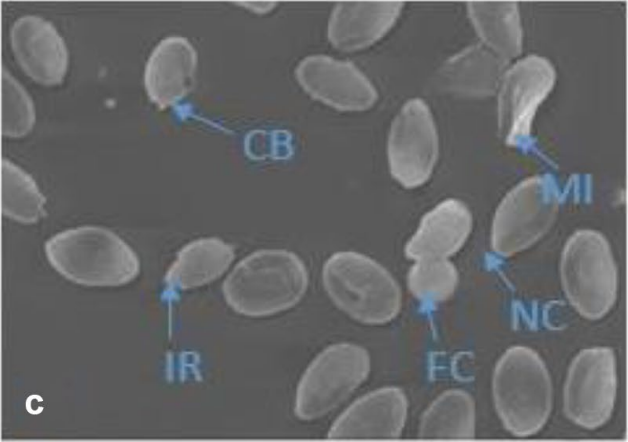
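One cell has a deeply creased, crumpled surface where the membrane folds inward. Two cells lie joined end to end. Small protrusions stand out from the margin of some cells.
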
